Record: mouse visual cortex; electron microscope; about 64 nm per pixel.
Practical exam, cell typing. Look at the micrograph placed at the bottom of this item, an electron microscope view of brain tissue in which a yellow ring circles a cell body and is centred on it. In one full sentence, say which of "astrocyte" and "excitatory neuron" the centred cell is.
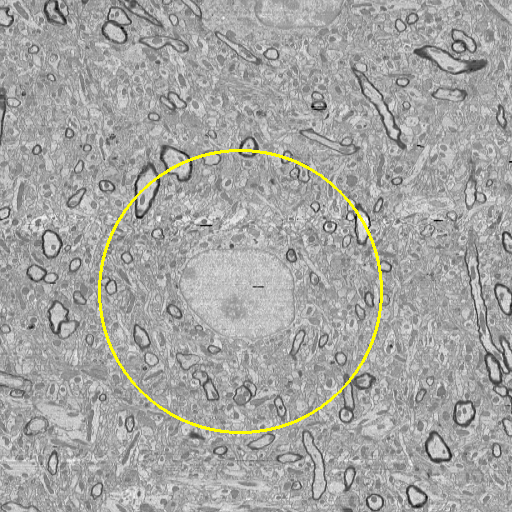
Given the options, an astrocyte fits the cell whose body the yellow ring is centred on.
